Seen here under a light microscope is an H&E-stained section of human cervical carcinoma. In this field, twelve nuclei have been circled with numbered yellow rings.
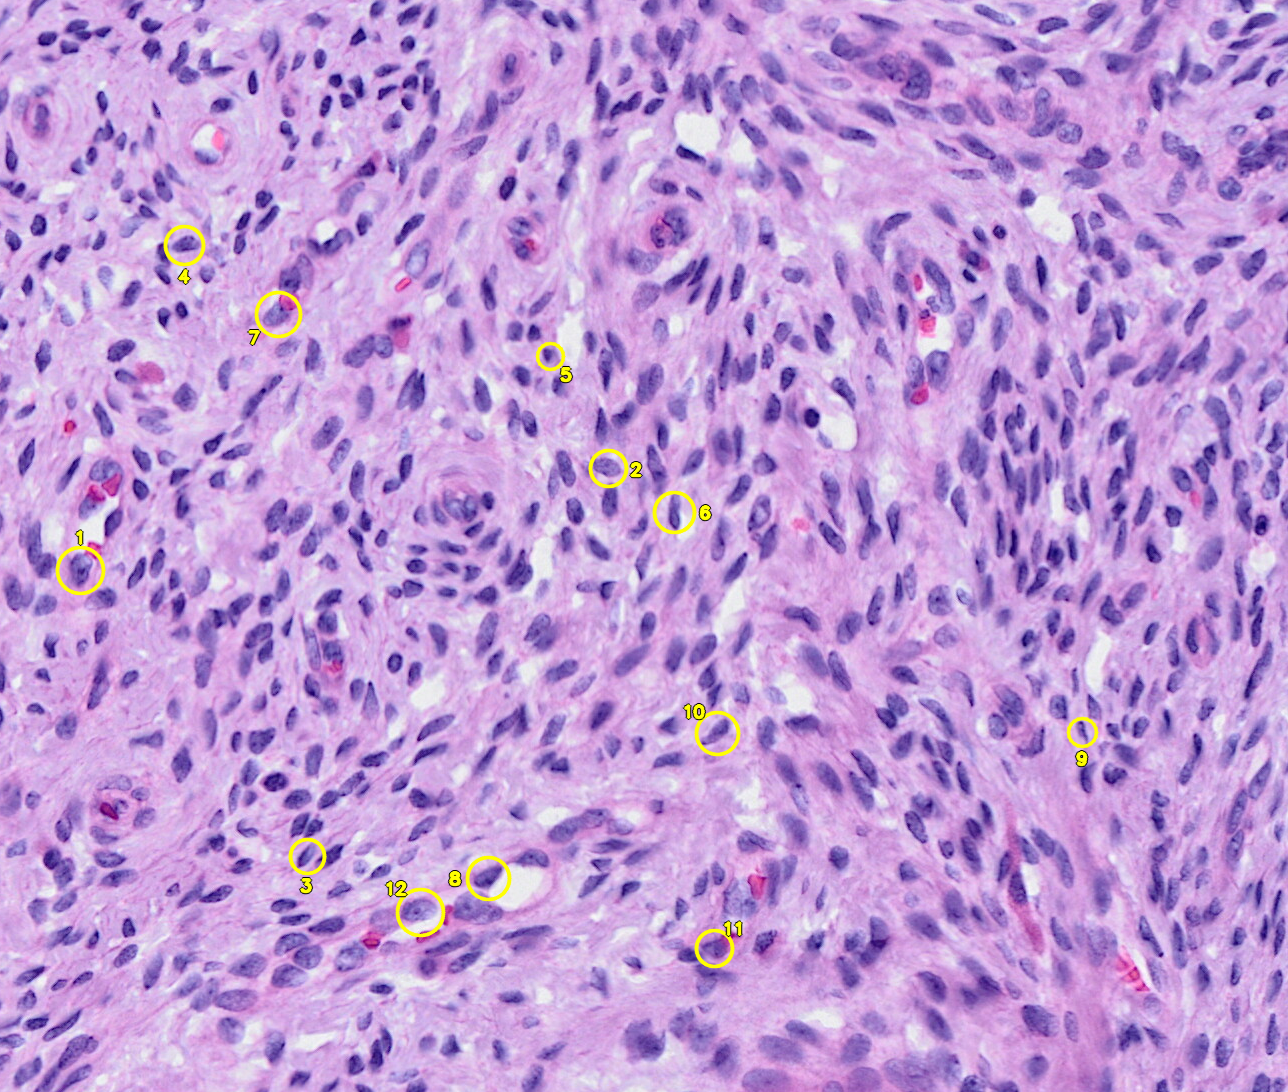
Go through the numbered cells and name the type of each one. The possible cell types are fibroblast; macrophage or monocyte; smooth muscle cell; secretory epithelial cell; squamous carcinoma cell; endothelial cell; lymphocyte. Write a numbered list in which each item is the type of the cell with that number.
1. endothelial cell
2. fibroblast
3. fibroblast
4. fibroblast
5. fibroblast
6. fibroblast
7. endothelial cell
8. endothelial cell
9. fibroblast
10. fibroblast
11. endothelial cell
12. endothelial cell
